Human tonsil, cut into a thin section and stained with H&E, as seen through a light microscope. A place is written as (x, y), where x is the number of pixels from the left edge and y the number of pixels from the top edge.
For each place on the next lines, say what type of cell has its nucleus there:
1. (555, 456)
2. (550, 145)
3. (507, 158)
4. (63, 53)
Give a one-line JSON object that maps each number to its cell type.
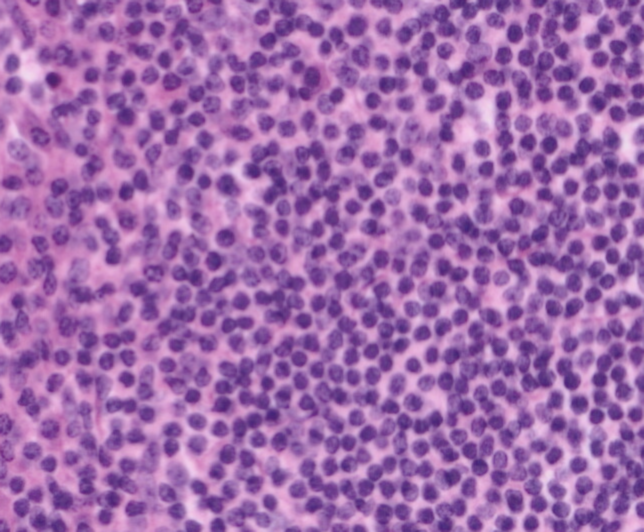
{"1": "small lymphocyte", "2": "small lymphocyte", "3": "small lymphocyte", "4": "plasma cell"}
